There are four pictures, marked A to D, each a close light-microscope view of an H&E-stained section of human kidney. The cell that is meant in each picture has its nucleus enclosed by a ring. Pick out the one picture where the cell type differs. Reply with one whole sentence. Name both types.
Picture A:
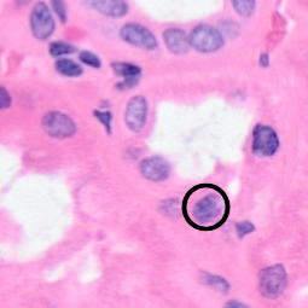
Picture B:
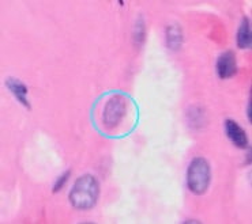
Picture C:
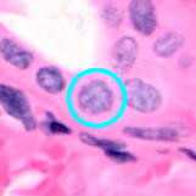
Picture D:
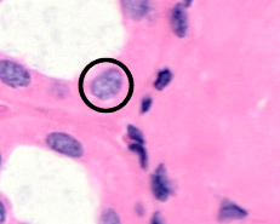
Picture C differs, because its cell is a collecting duct cell and the rest are “loop of Henle or distal tubule cells”.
